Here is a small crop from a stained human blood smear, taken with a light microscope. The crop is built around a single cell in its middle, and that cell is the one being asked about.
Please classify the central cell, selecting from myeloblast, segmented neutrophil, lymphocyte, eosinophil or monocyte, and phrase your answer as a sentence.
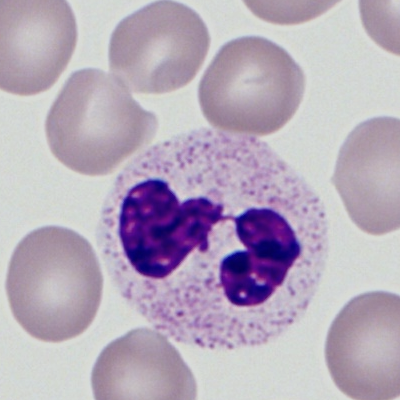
The central cell shown in this smear crop is a segmented neutrophil.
